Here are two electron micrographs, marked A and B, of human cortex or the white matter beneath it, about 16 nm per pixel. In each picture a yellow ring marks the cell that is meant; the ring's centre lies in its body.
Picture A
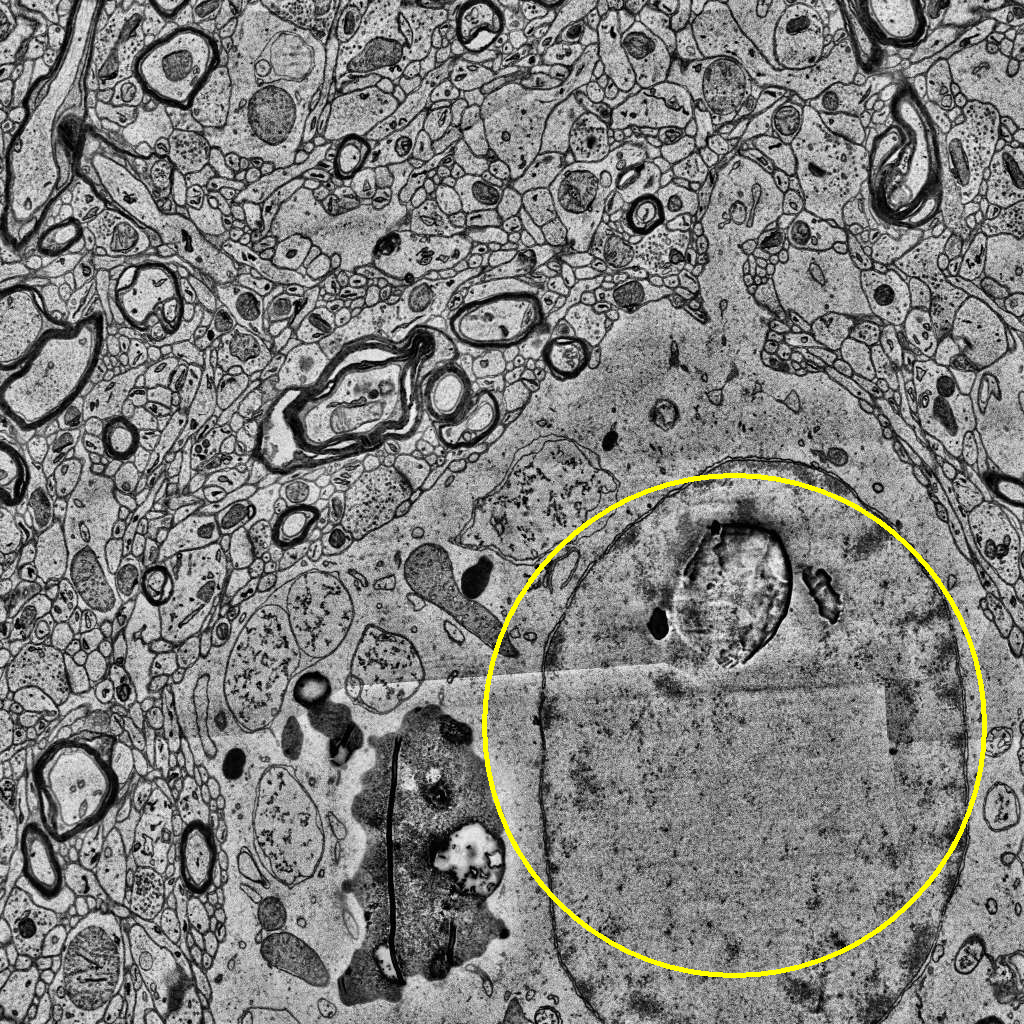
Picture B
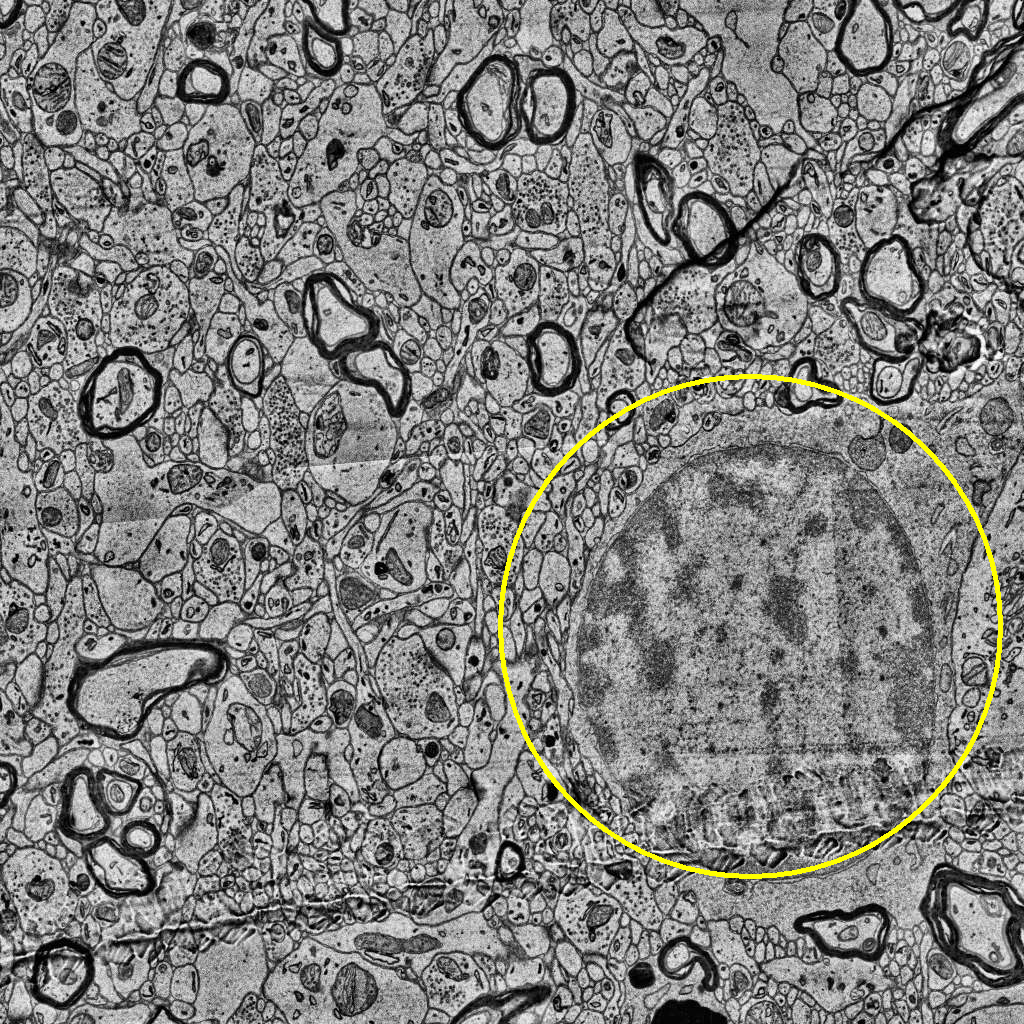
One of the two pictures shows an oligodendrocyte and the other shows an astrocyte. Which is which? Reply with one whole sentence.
In picture A the cell is an astrocyte; in picture B, an oligodendrocyte.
